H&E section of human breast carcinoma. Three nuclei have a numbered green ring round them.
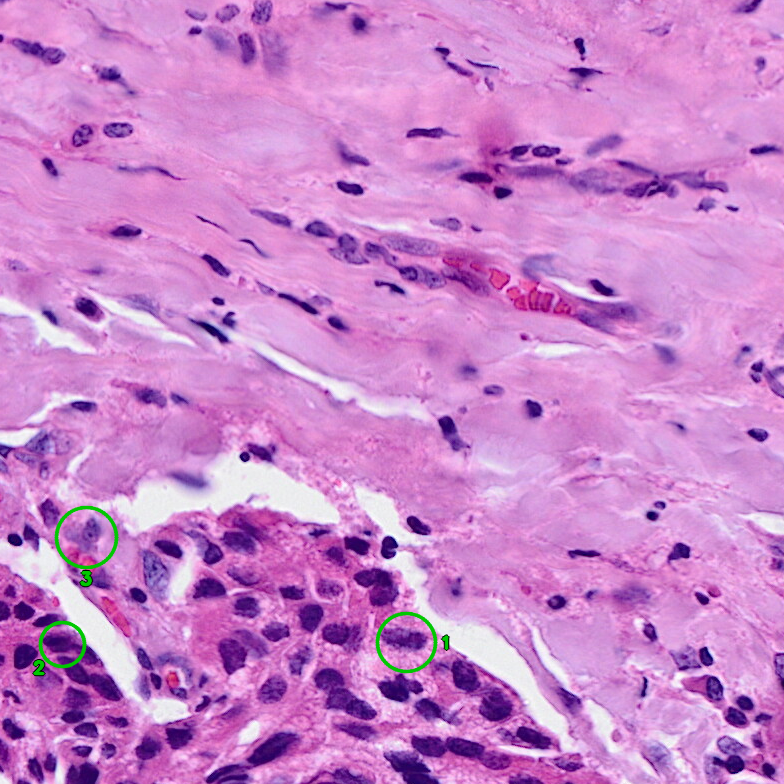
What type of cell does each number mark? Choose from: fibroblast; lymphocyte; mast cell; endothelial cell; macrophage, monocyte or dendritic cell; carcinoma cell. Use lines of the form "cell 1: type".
cell 1: carcinoma cell
cell 2: carcinoma cell
cell 3: endothelial cell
